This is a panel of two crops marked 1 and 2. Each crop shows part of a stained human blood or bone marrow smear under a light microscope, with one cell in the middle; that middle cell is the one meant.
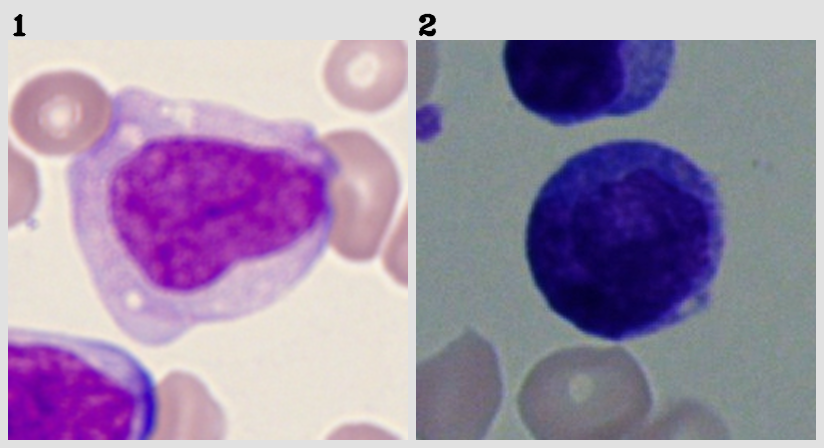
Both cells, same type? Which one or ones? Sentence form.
No, the cell centred in crop 2 is a blast; crop 1 centres on a monocyte.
